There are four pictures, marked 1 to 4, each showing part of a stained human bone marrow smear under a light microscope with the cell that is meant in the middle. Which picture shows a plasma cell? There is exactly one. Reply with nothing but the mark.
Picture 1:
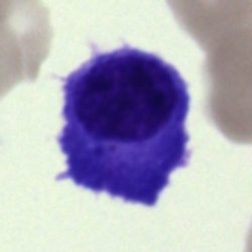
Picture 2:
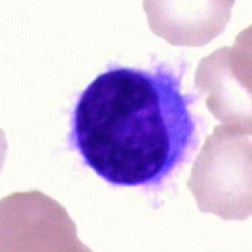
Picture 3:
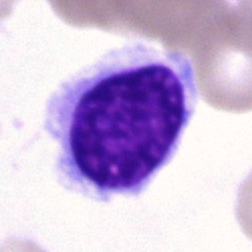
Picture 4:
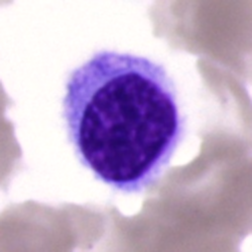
1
